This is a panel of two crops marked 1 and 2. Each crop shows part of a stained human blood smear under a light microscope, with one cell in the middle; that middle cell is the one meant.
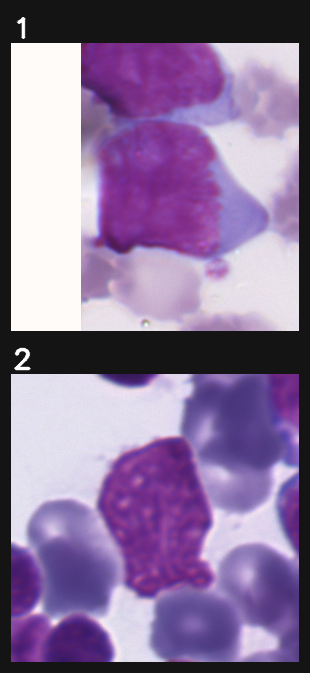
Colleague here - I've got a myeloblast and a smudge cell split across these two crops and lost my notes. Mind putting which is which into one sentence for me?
The cell that crop 1 centres on is a myeloblast, and the cell that crop 2 centres on is a smudge cell.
